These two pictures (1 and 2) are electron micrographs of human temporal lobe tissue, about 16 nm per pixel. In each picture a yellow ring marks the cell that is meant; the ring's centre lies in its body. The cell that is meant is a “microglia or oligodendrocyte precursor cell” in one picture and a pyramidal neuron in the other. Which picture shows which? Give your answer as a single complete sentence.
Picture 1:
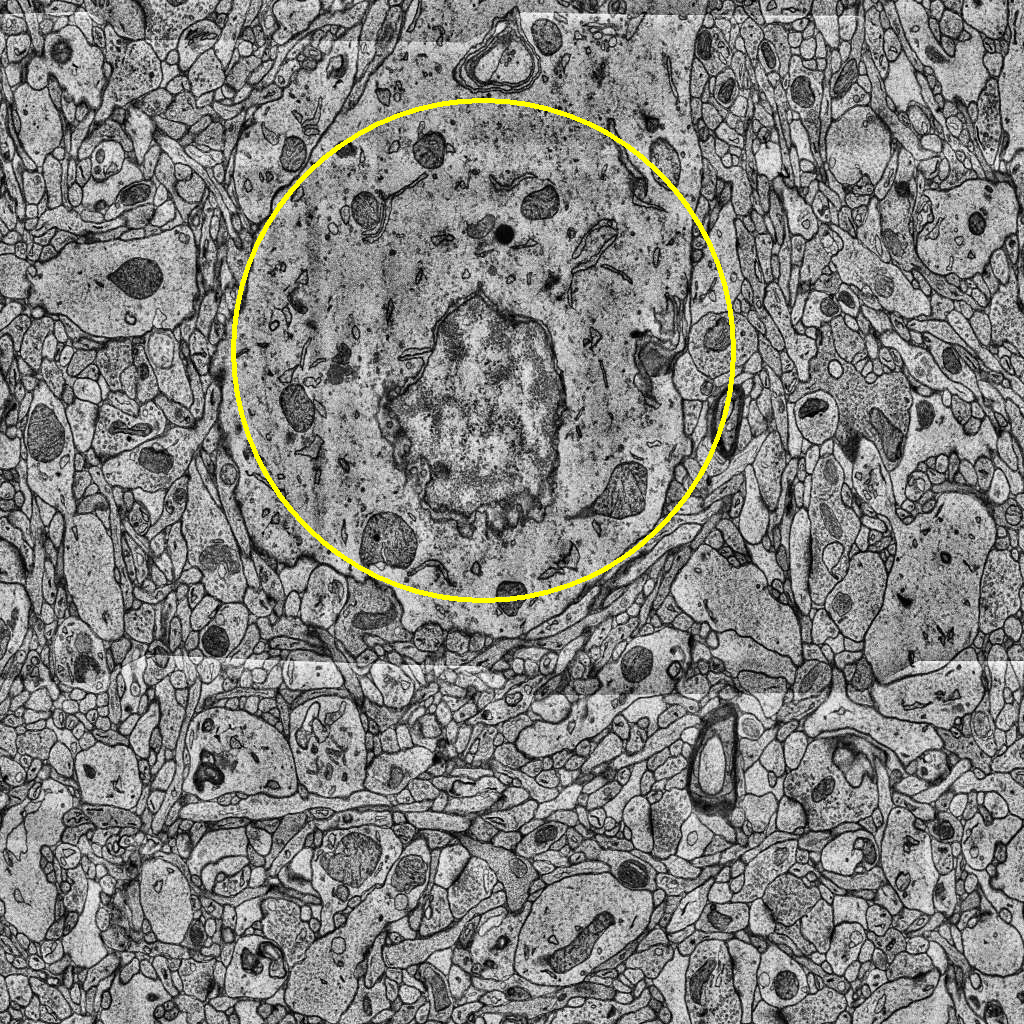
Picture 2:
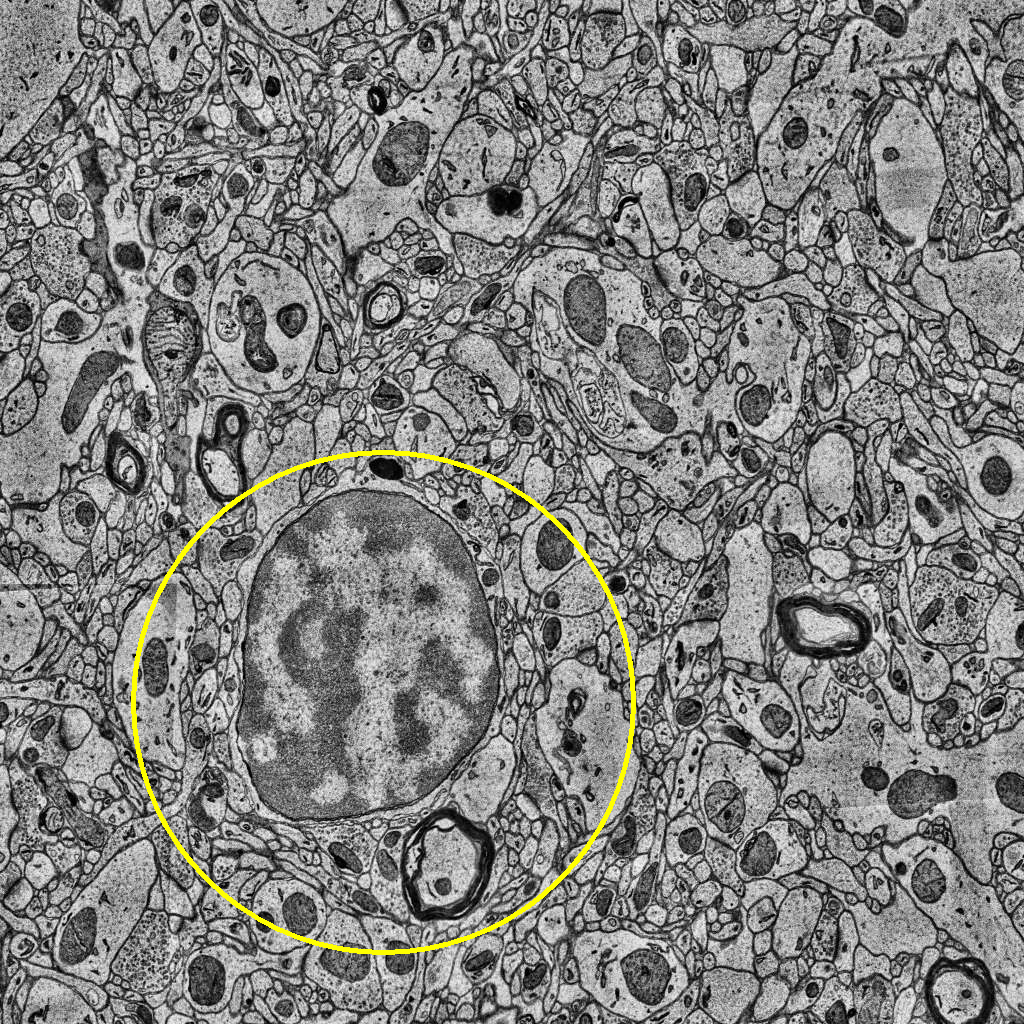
It is picture 1 that shows a pyramidal neuron, and picture 2 that shows a “microglia or oligodendrocyte precursor cell”.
